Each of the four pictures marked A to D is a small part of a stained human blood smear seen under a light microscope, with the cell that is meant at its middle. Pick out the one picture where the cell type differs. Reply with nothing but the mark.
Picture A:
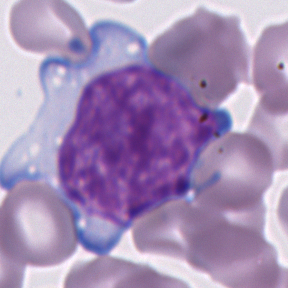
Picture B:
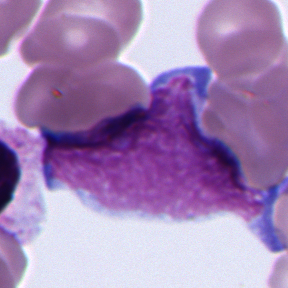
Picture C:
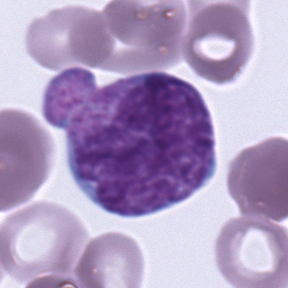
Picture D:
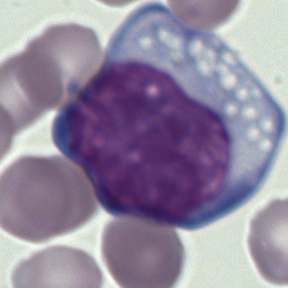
C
